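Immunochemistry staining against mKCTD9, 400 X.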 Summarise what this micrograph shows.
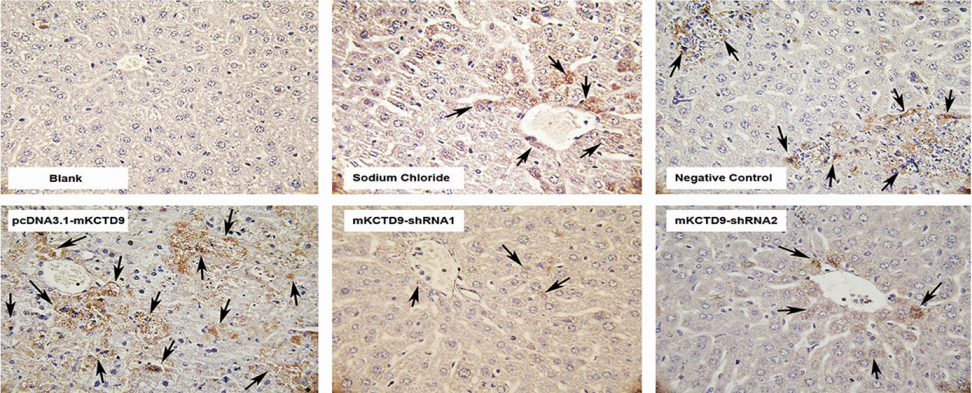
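Six fields of liver tissue show plates of polygonal hepatocytes with round blue nuclei, several fields centred on a vein. One field shows no brown stain at all, while the others carry brown deposits of differing extent, marked by arrows. Where brown is sparse it forms small patches near the veins; in the most heavily stained field, large brown clumps are spread widely among the hepatocyte plates. One field also shows clusters of small dark-nucleated cells among the brown areas.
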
